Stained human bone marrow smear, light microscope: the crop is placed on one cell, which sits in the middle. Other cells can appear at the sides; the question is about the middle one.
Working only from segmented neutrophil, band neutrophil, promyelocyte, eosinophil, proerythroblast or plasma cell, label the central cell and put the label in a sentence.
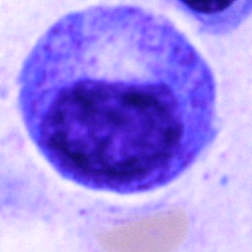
The middle of this crop is occupied by a promyelocyte.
